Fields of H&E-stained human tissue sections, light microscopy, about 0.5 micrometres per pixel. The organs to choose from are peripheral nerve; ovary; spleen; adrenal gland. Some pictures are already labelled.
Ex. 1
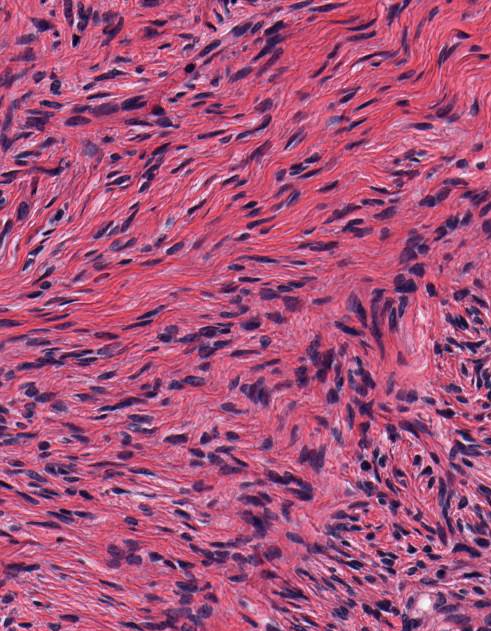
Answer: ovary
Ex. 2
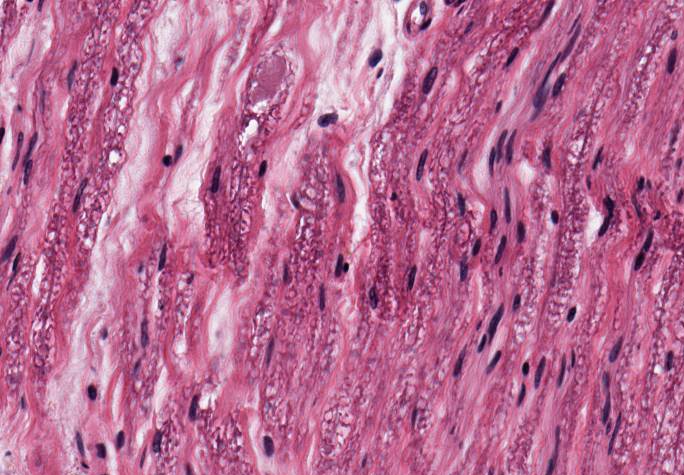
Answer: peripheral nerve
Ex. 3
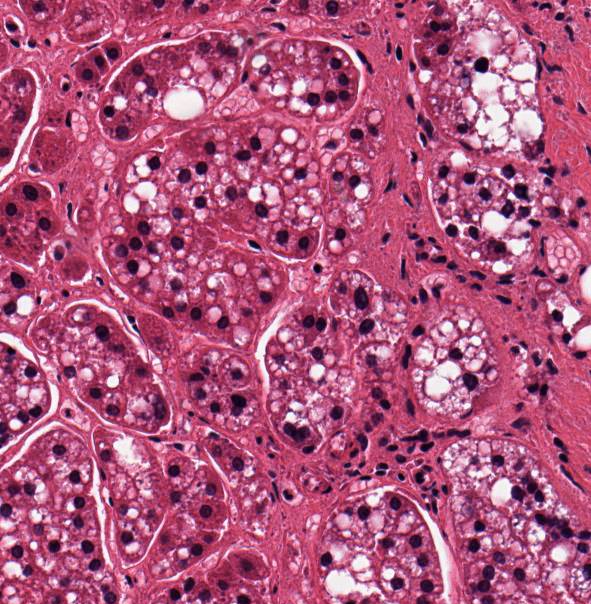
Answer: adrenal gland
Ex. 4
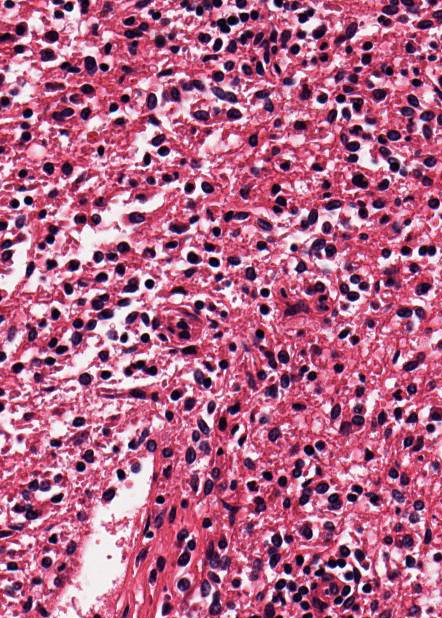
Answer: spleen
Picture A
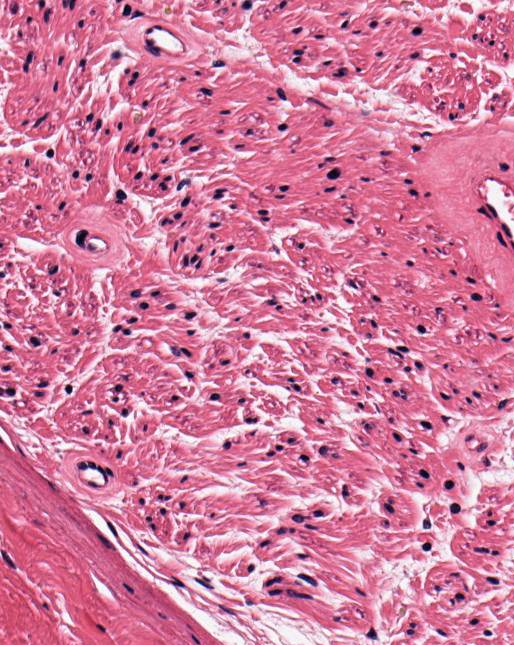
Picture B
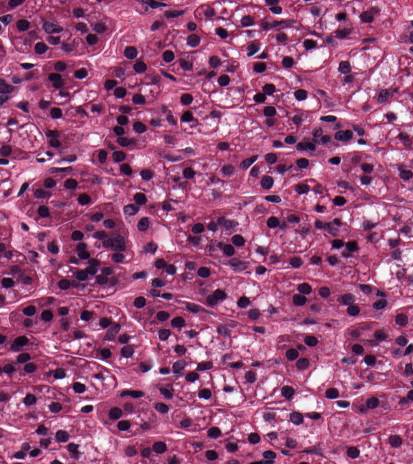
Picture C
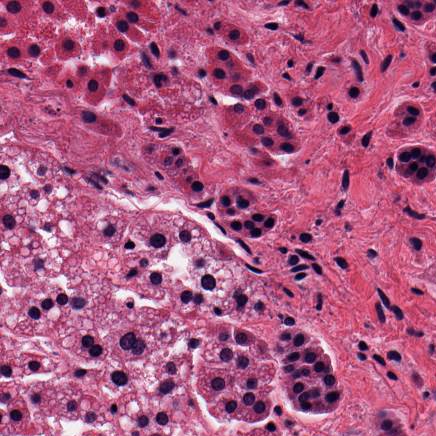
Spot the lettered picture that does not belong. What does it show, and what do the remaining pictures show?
Odd one out: A (peripheral nerve). The rest: adrenal gland.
